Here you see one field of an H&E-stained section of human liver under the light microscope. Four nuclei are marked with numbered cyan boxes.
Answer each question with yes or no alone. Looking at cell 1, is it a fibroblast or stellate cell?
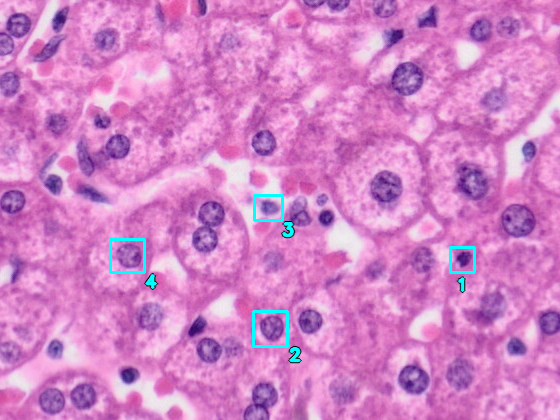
yes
